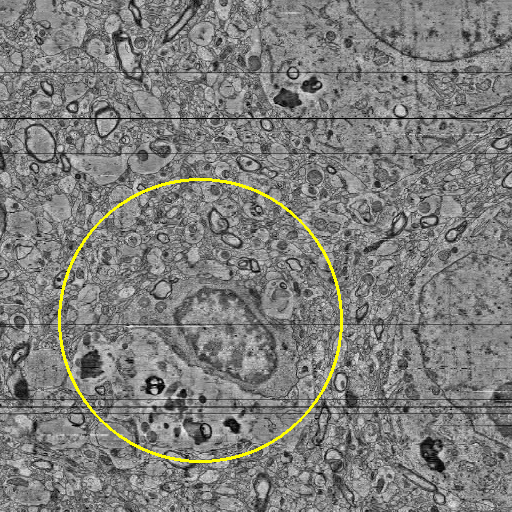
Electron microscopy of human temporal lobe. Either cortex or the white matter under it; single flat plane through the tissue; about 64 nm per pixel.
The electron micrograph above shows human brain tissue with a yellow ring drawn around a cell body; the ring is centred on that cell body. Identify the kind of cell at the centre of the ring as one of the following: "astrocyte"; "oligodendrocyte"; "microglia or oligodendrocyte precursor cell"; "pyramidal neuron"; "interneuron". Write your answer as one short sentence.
The cell at the centre of the ring is an oligodendrocyte.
